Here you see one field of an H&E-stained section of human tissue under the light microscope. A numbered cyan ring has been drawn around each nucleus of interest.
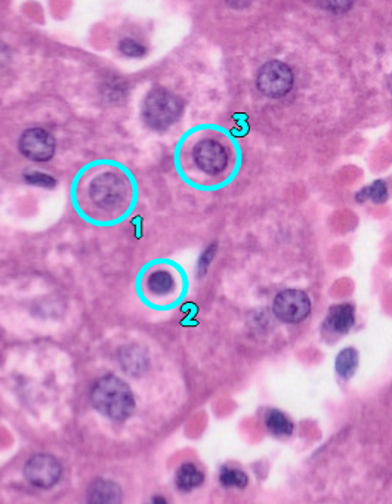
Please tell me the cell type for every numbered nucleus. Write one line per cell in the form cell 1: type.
cell 1: hepatocyte
cell 2: lymphocyte
cell 3: hepatocyte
